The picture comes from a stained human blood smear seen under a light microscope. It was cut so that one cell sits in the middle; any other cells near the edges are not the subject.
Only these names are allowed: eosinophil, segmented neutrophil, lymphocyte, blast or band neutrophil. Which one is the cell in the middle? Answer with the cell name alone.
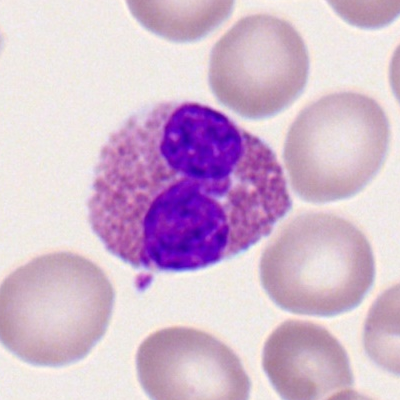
eosinophil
